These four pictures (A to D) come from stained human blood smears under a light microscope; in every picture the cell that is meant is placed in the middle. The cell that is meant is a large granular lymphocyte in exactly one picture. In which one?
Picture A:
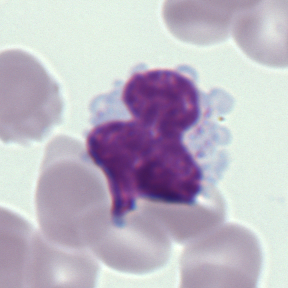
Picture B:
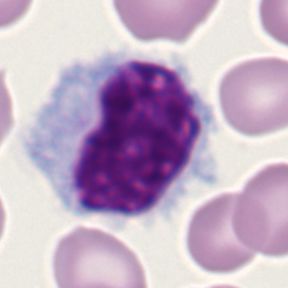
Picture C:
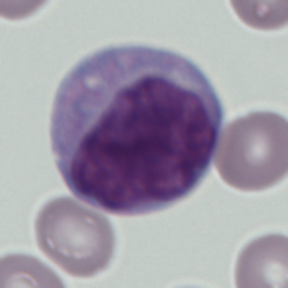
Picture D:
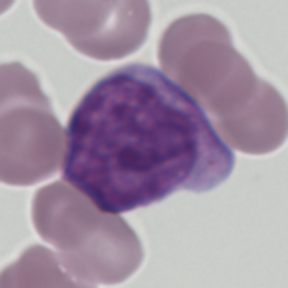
A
